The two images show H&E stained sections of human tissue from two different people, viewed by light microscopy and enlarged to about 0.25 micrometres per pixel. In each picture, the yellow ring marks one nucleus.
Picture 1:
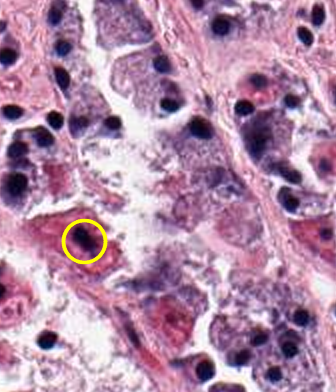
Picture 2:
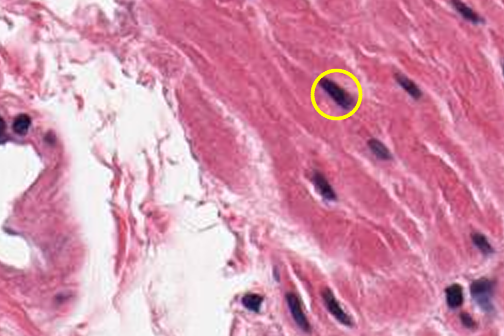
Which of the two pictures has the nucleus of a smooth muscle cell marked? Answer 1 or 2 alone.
2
